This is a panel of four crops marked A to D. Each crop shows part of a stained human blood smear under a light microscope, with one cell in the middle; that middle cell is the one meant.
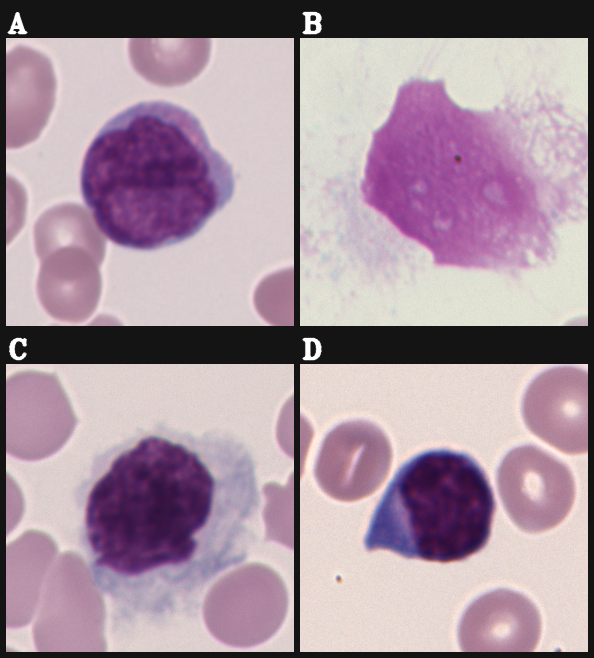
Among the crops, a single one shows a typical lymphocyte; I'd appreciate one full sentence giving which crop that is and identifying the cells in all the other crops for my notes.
For crop D the cell is a typical lymphocyte, while crop A is an atypical promyelocyte, crop B is a smudge cell and crop C is a hairy cell.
